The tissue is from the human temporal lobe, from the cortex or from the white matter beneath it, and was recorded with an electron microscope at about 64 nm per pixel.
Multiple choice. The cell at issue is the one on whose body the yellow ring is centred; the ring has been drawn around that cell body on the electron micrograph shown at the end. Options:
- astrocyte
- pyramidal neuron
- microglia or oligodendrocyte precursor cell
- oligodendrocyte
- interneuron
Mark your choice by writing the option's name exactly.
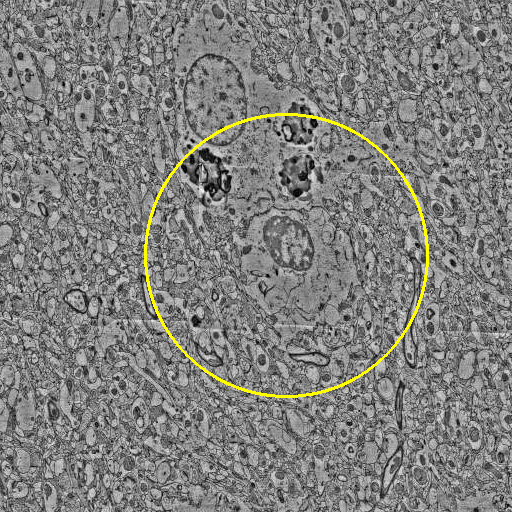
astrocyte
